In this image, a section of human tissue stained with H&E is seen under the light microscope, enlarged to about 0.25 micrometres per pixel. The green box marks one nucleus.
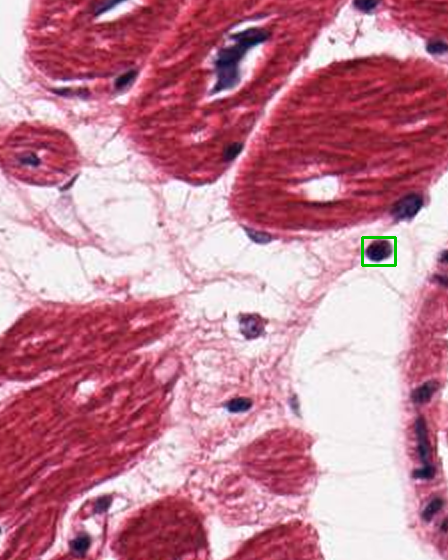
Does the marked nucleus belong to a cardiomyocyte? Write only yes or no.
no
